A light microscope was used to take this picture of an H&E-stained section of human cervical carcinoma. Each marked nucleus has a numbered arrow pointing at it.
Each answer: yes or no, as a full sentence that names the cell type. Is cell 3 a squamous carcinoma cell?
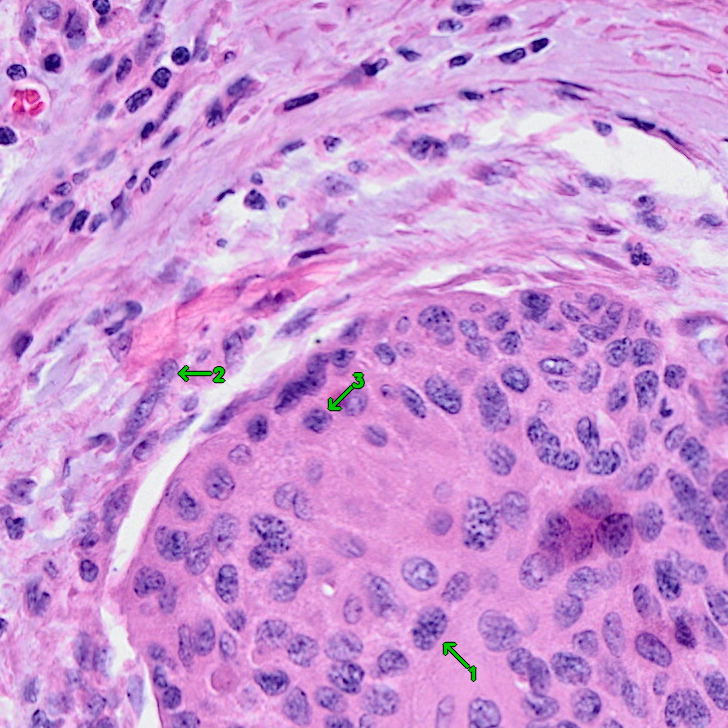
Yes, and to answer plainly, cell 3 is a squamous carcinoma cell.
